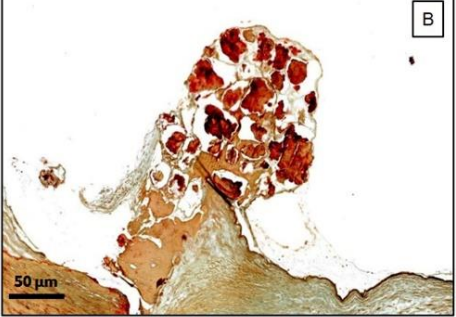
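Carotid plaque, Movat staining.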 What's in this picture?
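A rounded mass bulges from the wall into the open space, packed with many separate red-brown fragmented plates set in a small amount of pale tan fibrous tissue, with no cell-rich areas or lipid spaces visible. Only a very thin rim covers its surface. This is a calcific nodule protruding into the lumen, made of calcified plates under an extremely thin fibrous cap.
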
